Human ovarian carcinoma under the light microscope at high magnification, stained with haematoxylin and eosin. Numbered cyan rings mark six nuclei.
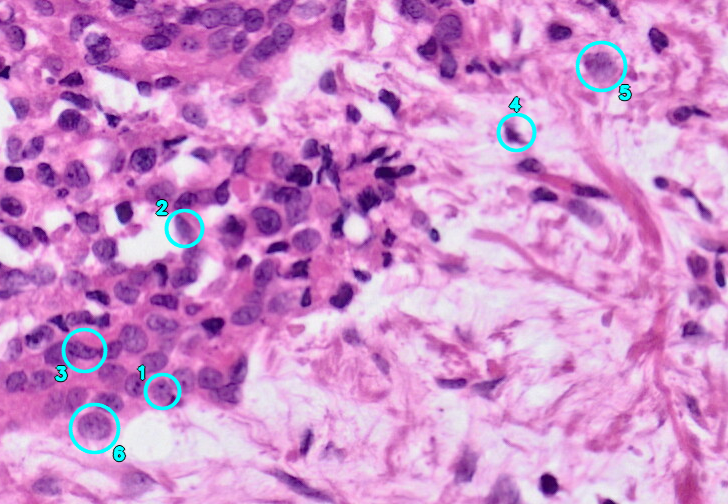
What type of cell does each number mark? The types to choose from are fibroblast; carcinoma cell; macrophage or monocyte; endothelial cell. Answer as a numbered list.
1. macrophage or monocyte
2. carcinoma cell
3. carcinoma cell
4. fibroblast
5. fibroblast
6. carcinoma cell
